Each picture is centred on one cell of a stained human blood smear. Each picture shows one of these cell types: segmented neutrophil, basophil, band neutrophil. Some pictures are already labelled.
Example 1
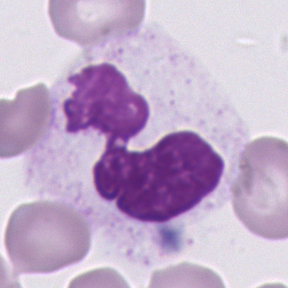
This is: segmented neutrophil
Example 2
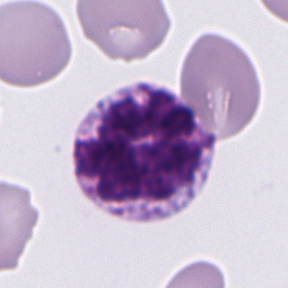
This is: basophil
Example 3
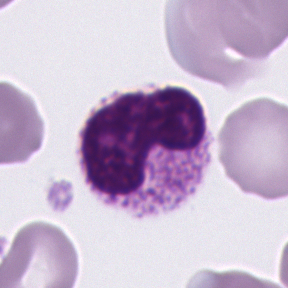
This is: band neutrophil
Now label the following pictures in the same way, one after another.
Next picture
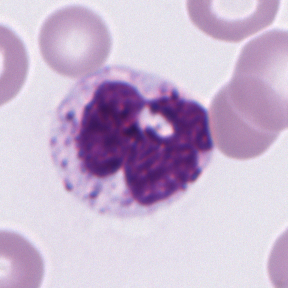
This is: basophil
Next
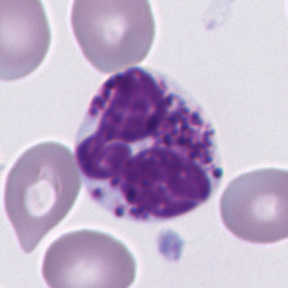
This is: basophil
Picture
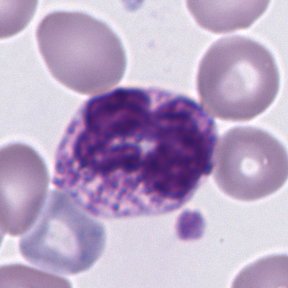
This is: basophil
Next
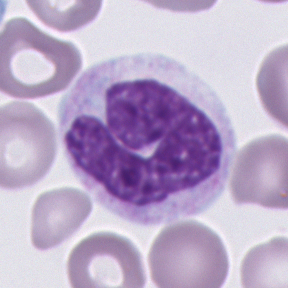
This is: band neutrophil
